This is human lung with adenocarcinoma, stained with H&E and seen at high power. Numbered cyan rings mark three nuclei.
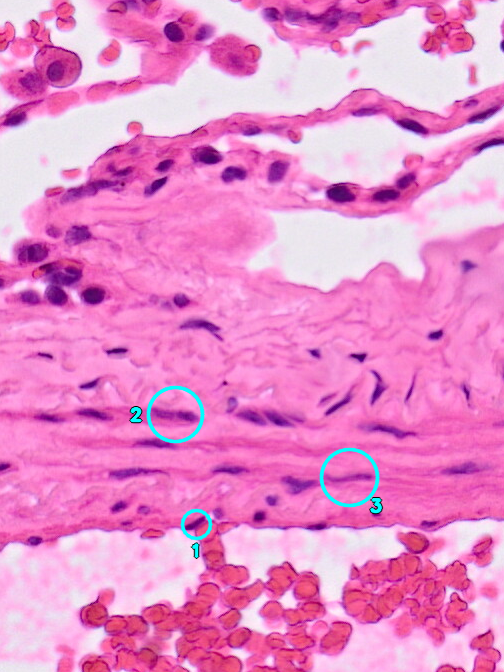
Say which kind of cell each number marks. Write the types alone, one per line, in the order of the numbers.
endothelial cell
smooth muscle cell or pericyte
smooth muscle cell or pericyte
